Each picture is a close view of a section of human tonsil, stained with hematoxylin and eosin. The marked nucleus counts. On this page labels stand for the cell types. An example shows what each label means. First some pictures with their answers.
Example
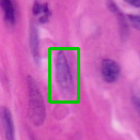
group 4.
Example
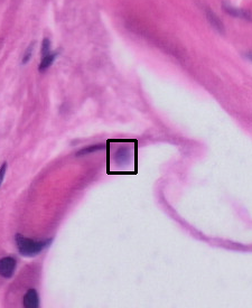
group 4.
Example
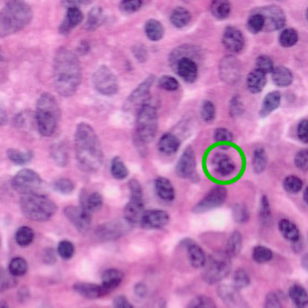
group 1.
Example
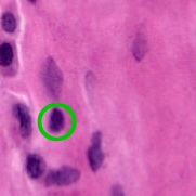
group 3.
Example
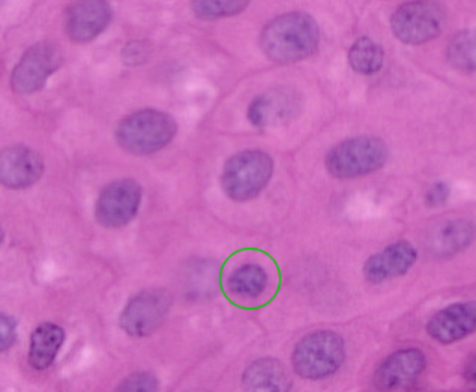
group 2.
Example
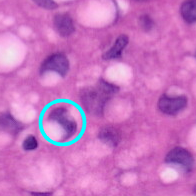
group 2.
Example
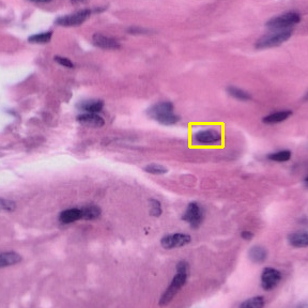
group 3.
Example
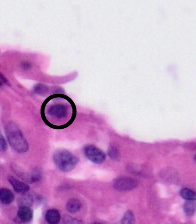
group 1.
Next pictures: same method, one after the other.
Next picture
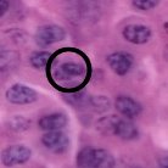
group 1.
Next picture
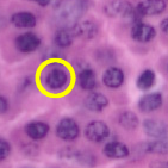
group 1.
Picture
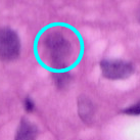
group 2.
